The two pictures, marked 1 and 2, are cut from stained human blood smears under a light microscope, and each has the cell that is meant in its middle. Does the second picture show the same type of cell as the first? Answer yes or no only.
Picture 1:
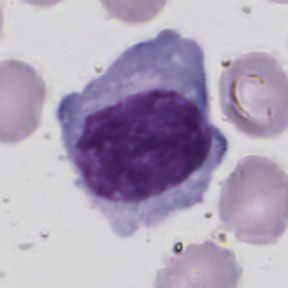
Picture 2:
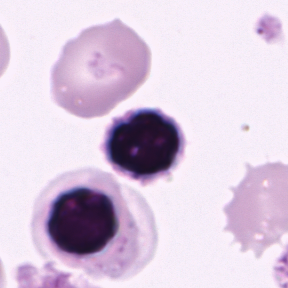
no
